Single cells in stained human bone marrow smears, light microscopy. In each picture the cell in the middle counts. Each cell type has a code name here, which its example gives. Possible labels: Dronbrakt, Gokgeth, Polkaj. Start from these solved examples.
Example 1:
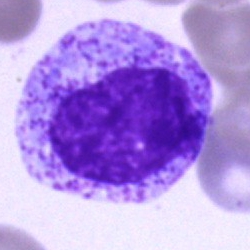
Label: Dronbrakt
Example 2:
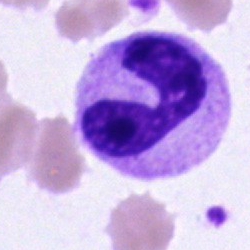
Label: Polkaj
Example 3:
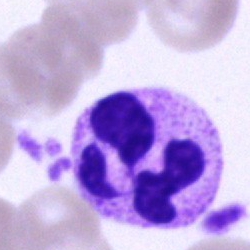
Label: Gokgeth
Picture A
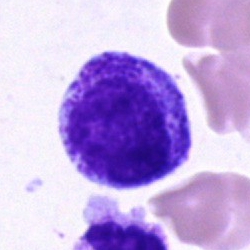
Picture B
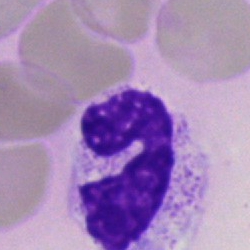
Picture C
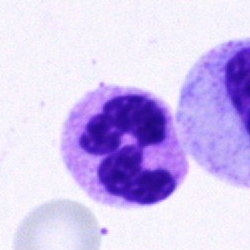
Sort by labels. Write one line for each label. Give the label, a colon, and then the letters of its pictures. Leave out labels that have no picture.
Dronbrakt: A
Gokgeth: C
Polkaj: B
